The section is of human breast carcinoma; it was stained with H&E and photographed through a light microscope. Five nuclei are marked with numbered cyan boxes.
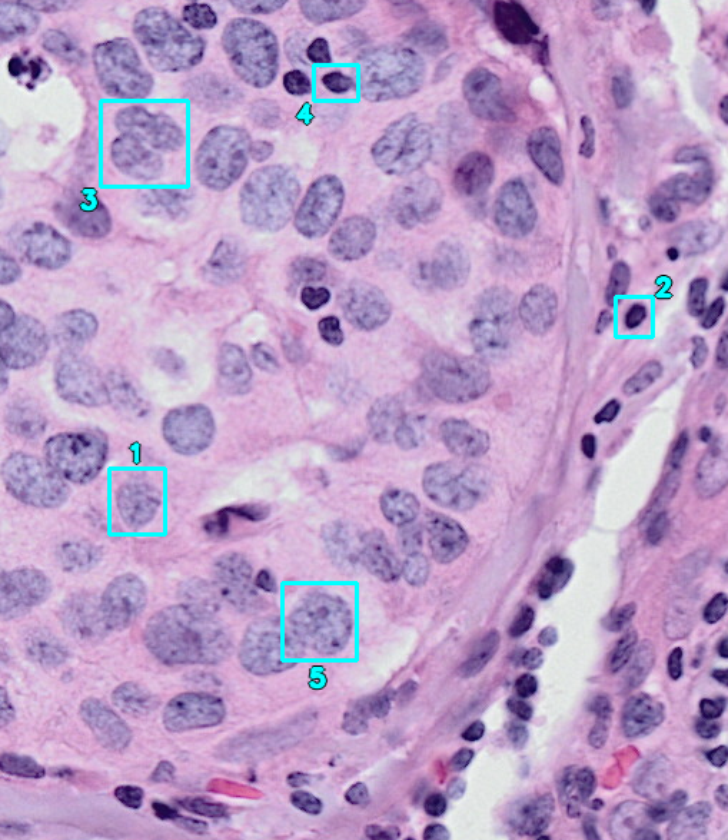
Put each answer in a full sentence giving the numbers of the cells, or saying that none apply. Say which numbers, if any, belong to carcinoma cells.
Cells 1, 3 and 5 are classified as carcinoma cells.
